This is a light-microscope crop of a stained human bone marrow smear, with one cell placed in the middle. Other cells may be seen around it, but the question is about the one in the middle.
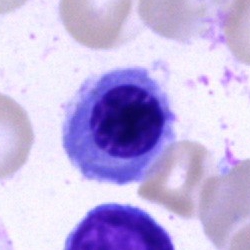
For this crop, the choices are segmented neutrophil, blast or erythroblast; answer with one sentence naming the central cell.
The cell at the heart of this crop is an erythroblast.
